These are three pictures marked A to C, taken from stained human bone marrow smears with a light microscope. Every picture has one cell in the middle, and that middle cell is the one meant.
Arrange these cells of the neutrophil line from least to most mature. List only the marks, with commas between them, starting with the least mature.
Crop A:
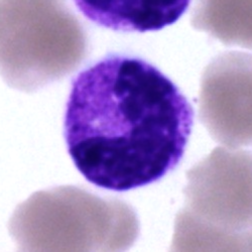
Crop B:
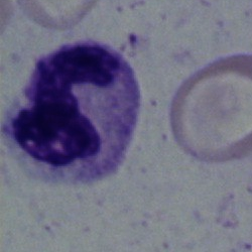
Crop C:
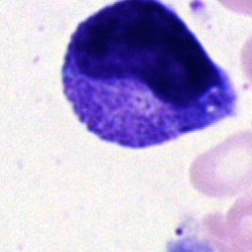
C, A, B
